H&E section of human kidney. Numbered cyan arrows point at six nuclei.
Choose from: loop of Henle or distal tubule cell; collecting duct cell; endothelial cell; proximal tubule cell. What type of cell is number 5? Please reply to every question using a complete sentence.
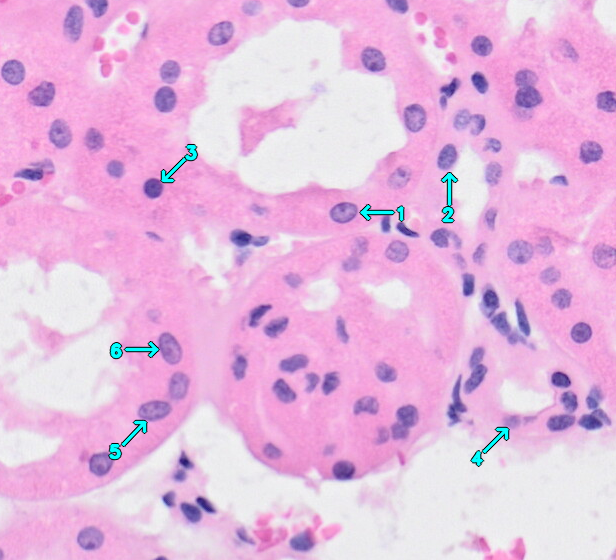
Number 5 among the marked cells is a proximal tubule cell.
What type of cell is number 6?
The cell that bears the number 6 is a proximal tubule cell.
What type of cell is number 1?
The nucleus with number 1 is that of a proximal tubule cell.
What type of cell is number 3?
The cell identified by number 3 is a proximal tubule cell.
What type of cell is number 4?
The cell pointed out by number 4 is a collecting duct cell.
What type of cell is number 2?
In the tissue shown, cell 2 is a collecting duct cell.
